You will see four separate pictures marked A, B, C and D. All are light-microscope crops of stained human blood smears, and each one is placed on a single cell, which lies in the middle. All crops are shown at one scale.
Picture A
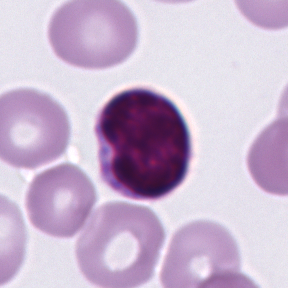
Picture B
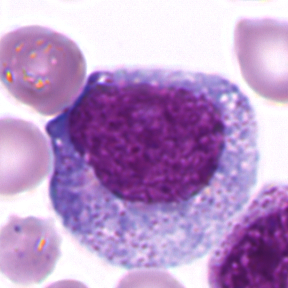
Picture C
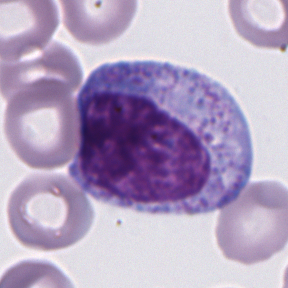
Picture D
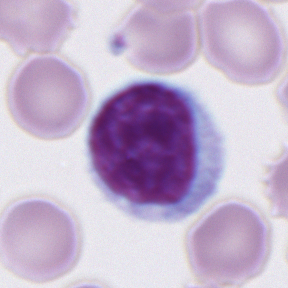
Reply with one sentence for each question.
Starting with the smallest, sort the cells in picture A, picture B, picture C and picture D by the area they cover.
Smallest first: A, D, C, B.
